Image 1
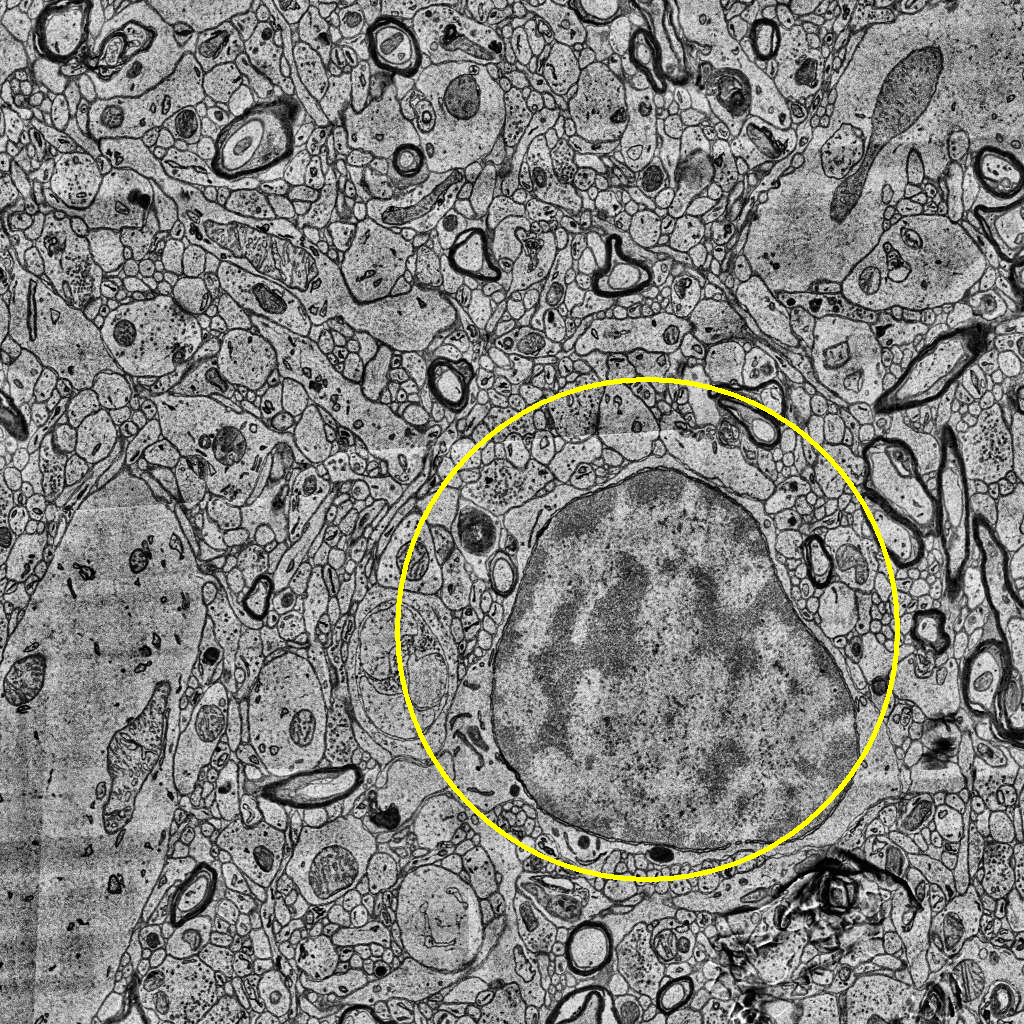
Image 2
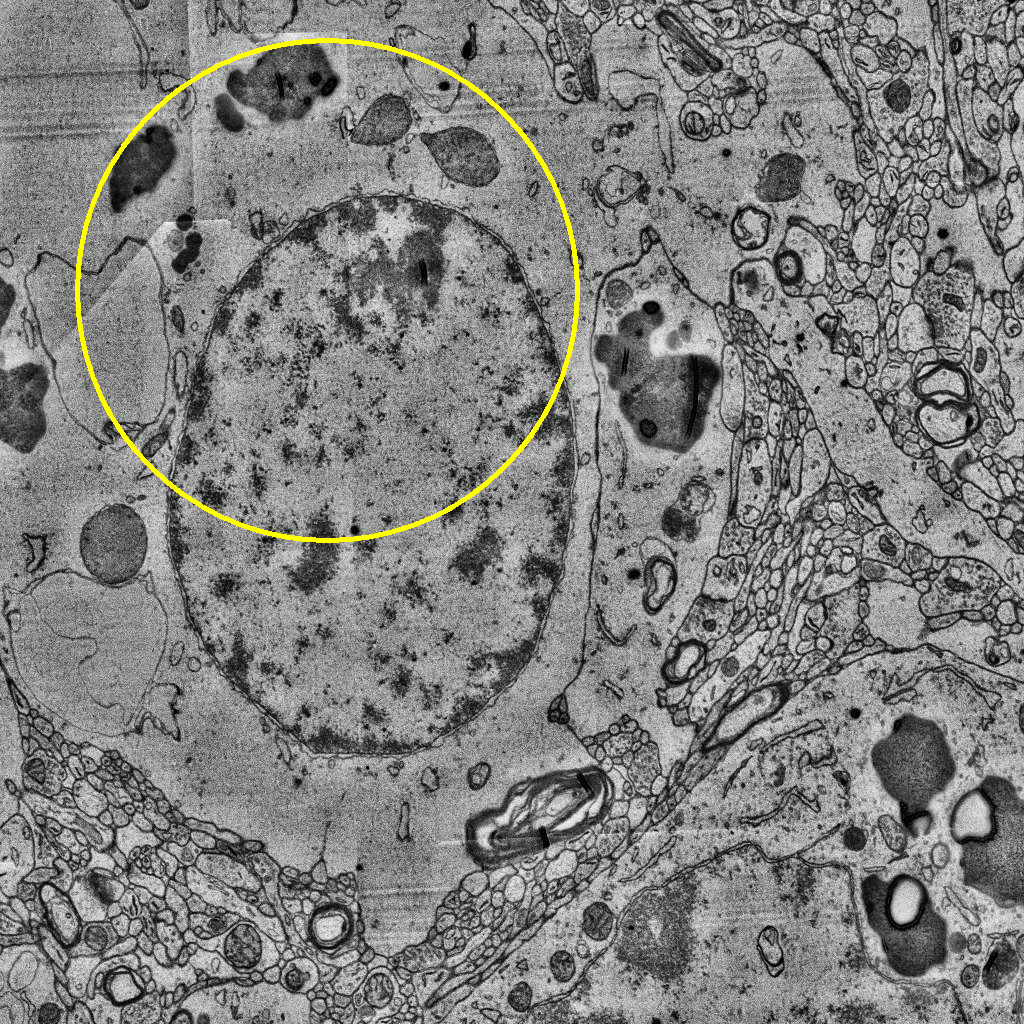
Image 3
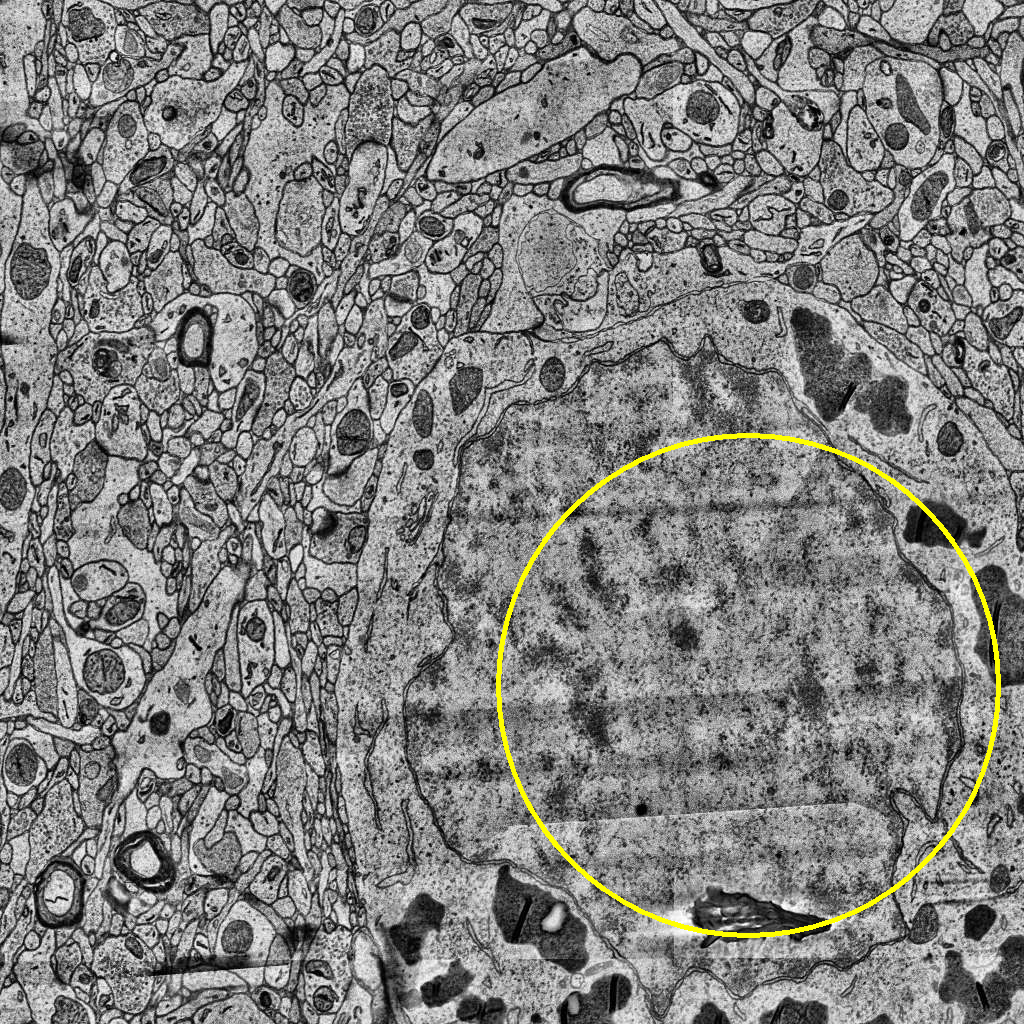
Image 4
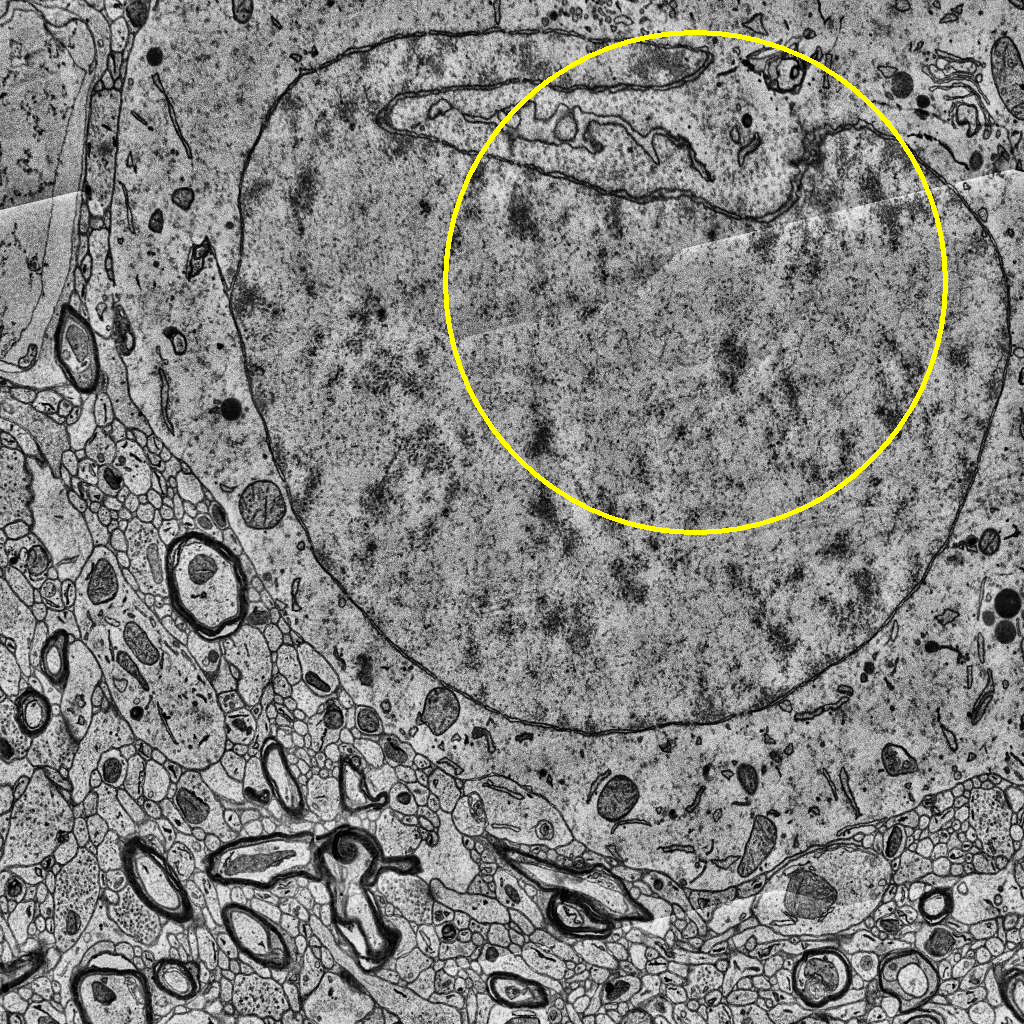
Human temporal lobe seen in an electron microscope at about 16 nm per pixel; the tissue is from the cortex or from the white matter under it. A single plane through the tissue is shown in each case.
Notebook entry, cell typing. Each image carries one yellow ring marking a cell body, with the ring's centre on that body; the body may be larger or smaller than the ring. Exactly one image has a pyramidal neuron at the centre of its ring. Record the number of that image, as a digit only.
4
